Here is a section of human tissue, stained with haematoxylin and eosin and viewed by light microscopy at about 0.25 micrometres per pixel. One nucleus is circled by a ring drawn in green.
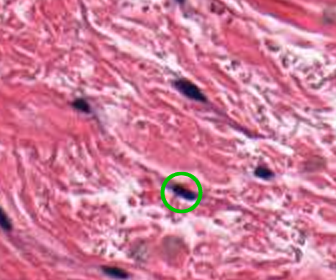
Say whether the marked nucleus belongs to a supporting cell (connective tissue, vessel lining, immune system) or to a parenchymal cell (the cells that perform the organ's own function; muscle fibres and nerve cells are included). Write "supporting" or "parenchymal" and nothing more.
supporting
